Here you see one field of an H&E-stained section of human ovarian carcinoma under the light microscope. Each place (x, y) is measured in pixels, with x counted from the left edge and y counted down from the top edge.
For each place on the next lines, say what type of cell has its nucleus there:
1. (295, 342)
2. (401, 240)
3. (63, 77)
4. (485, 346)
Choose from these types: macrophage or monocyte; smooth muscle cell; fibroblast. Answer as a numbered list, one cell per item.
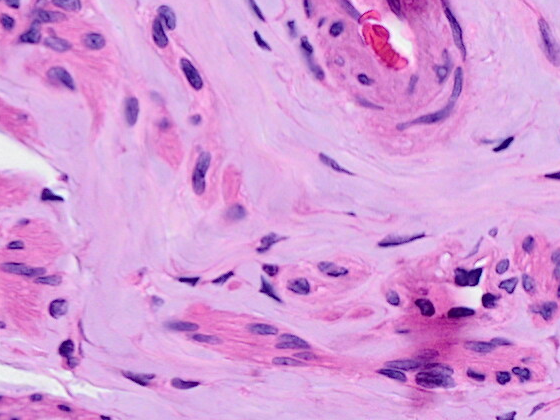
1. smooth muscle cell
2. fibroblast
3. smooth muscle cell
4. smooth muscle cell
